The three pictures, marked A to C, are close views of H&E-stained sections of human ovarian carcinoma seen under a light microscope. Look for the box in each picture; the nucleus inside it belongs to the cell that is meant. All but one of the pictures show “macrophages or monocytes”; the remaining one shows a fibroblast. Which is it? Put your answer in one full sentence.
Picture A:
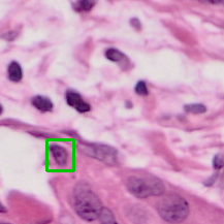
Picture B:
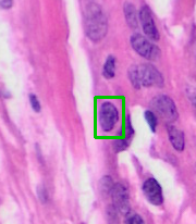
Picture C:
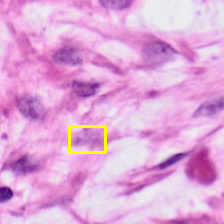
Picture C is the one that shows the fibroblast.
